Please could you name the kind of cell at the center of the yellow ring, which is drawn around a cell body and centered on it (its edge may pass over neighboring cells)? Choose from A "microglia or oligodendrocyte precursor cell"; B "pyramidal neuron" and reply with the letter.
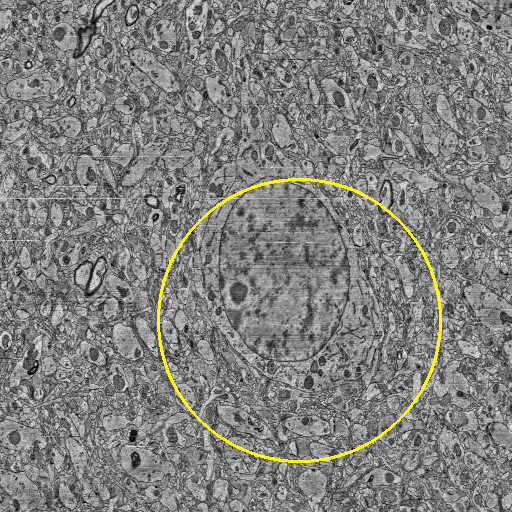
B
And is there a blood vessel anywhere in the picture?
No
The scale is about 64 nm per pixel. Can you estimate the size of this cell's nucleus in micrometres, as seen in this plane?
In this plane, about 12 micrometres in length and 8 in width.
